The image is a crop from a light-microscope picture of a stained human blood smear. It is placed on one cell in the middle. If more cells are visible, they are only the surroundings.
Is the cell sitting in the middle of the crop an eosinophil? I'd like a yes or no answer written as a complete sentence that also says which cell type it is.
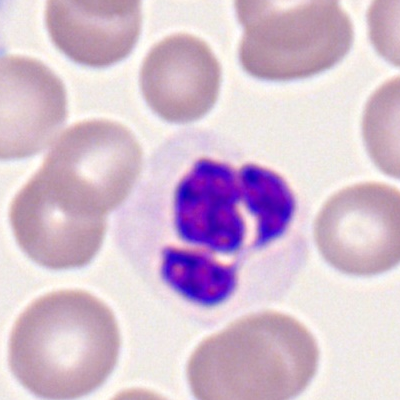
No, the cell sitting in the centre of the crop is a segmented neutrophil, not an eosinophil.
